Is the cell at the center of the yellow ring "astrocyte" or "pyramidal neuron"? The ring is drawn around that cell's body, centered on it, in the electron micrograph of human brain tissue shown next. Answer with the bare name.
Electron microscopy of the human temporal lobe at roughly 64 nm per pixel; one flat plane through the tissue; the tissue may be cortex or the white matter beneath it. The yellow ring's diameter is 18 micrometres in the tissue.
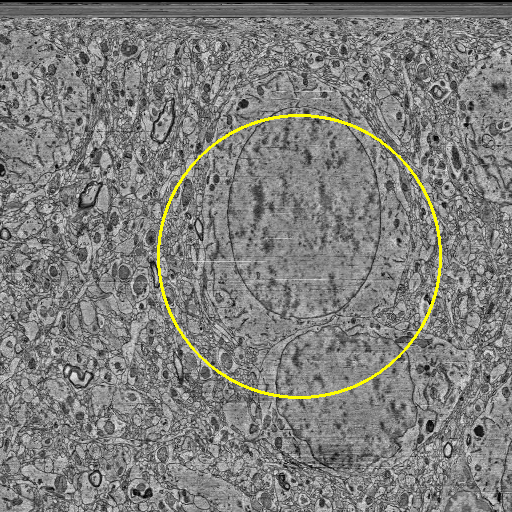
pyramidal neuron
